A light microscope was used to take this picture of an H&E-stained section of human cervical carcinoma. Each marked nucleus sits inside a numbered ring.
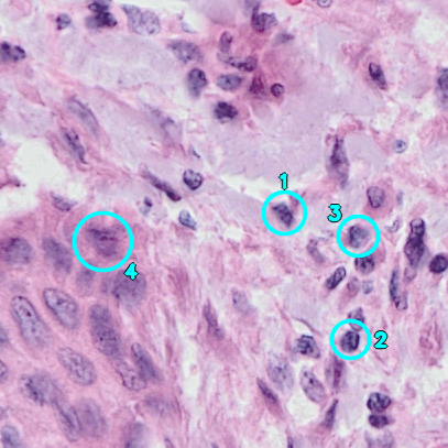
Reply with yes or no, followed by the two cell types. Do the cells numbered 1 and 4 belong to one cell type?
No, the identities are a lymphocyte for cell 1 and a squamous carcinoma cell for cell 4.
